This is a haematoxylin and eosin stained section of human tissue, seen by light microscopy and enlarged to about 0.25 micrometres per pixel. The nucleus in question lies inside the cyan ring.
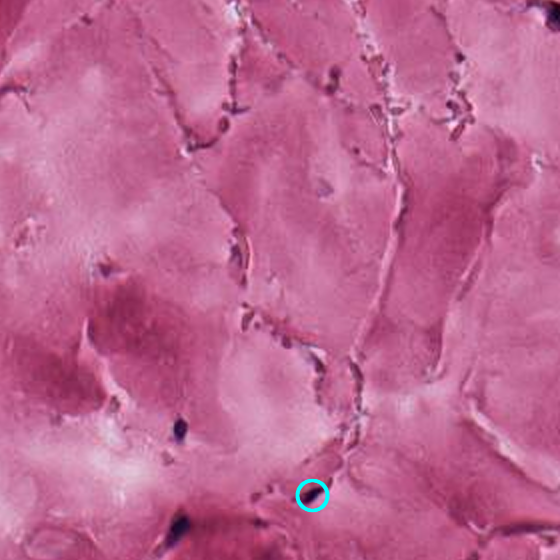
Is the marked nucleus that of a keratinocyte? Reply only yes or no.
no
